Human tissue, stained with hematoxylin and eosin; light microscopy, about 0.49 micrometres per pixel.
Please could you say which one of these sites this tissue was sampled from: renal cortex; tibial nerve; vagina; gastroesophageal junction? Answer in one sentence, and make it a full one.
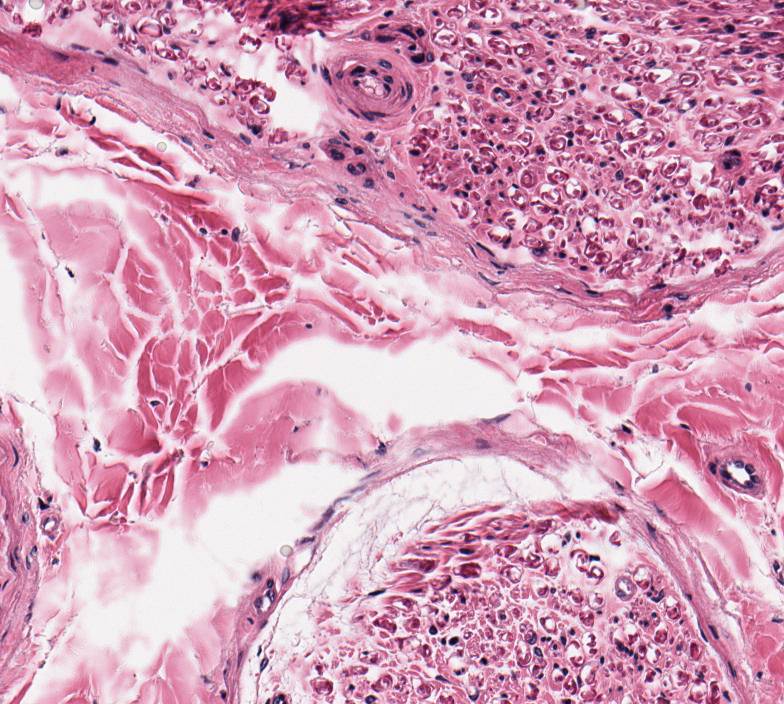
The sample of tissue came from the tibial nerve.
